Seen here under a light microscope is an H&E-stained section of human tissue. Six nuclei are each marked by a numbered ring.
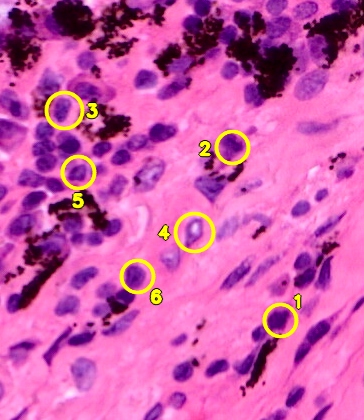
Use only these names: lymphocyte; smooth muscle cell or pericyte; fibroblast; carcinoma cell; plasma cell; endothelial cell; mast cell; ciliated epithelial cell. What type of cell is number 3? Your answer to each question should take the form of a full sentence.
Identified by the number 3, the cell is a lymphocyte.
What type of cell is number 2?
Cell 2, among those numbered, is a plasma cell.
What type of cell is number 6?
The cell pointed out by number 6 is a lymphocyte.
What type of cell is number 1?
The cell numbered 1 represents a plasma cell.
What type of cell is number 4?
Cell 4 is classified as an endothelial cell.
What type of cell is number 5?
The cell numbered 5 represents a lymphocyte.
